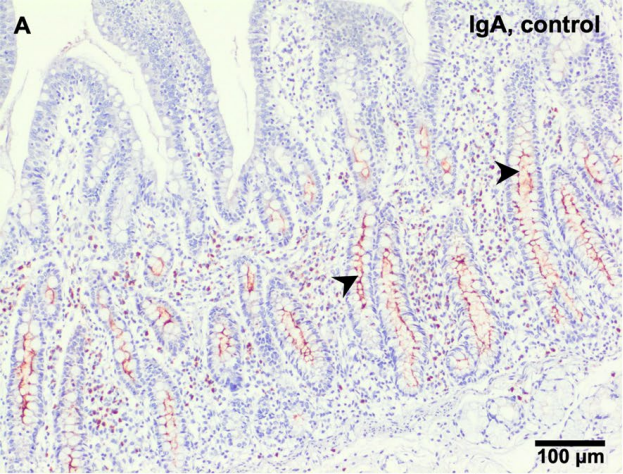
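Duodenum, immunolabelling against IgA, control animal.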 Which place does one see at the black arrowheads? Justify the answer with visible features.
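The arrowheads point at red staining lining the central lumen of elongated glands. The glands are crypts lying deep in the mucosa below the villi. On this evidence: lumen of the crypts.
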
